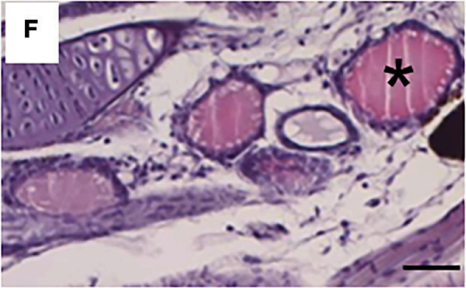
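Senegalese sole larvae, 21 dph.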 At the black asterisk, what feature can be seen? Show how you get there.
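Thyroid follicles. The asterisk marks a large rounded structure filled with homogeneous pink material. A thin layer of flattened cells with purple nuclei lines its border. Several similar pink-filled rounded structures lie side by side in loose connective tissue.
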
